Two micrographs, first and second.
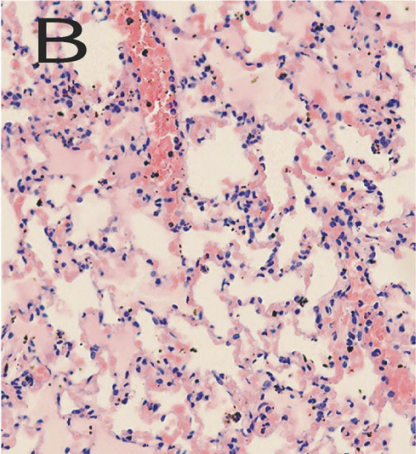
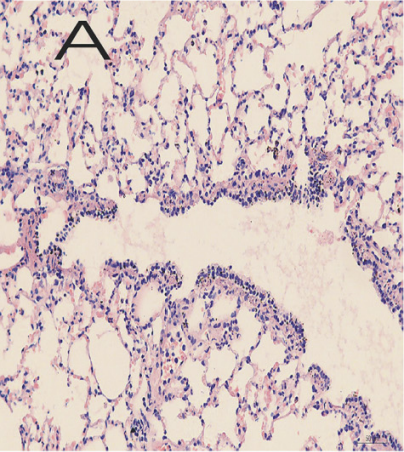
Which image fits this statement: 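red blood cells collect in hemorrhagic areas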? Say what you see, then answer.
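The first image. First image: a dense collection of red blood cells near the top and red cells scattered among the septa. Second image: thin alveolar walls and open air spaces without red cell collections.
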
